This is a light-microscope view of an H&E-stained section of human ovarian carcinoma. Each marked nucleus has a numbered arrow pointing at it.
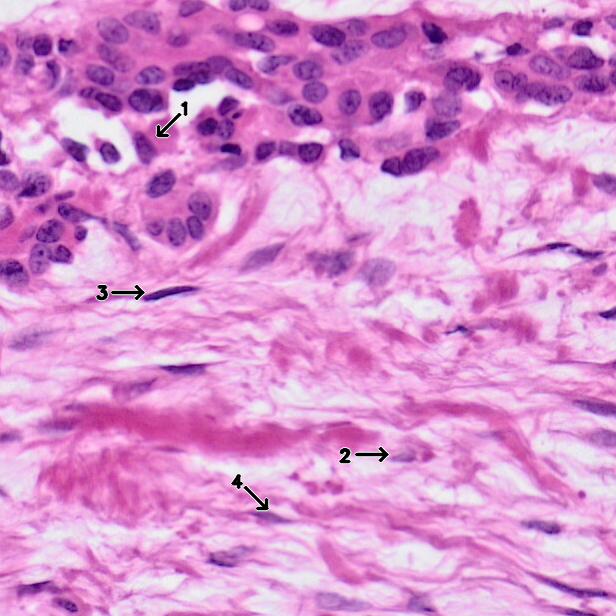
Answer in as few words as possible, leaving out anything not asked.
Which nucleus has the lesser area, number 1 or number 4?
4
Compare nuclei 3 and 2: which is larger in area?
3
